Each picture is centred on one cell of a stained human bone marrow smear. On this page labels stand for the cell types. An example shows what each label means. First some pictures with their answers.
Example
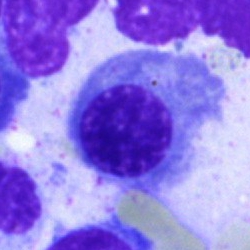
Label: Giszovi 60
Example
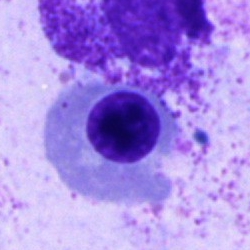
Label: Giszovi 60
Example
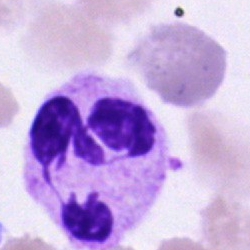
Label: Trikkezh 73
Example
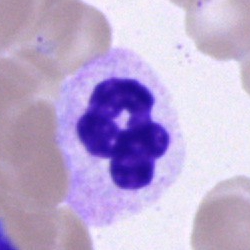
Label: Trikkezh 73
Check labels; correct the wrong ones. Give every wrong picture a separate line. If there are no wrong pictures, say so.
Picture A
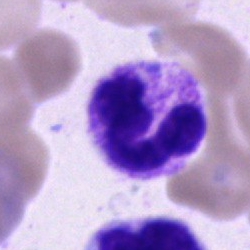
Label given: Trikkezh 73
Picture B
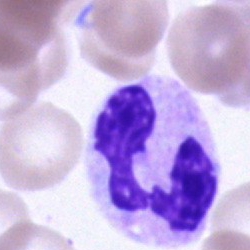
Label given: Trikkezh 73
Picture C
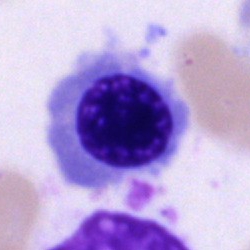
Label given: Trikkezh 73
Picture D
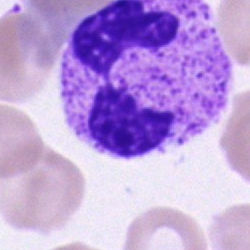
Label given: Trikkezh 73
C: not Trikkezh 73 but Giszovi 60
